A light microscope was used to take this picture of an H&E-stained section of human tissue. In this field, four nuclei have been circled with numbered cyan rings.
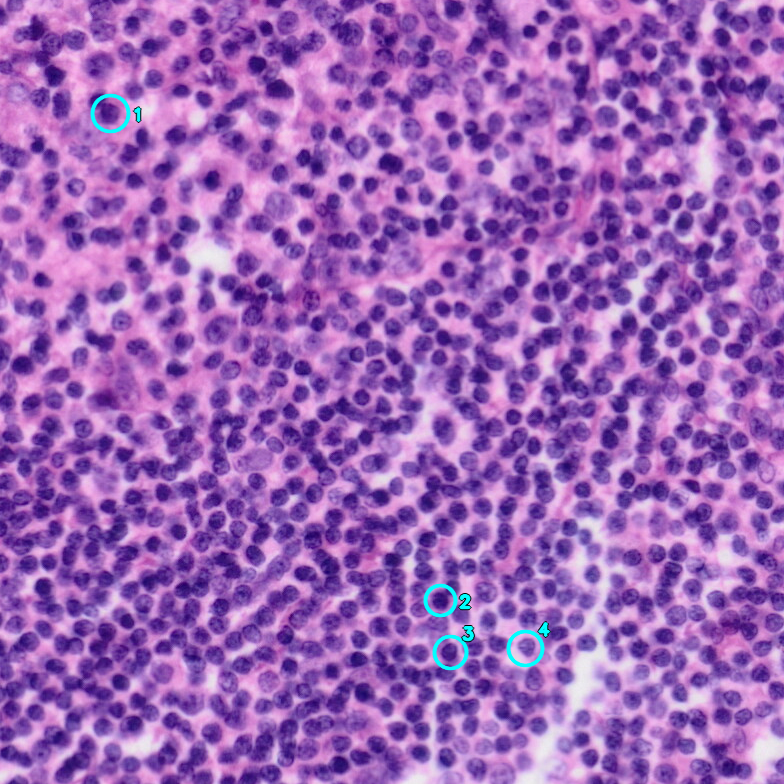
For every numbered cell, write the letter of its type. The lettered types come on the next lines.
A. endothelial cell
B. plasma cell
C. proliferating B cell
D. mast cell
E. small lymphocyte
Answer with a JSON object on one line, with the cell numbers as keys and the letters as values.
{"1": "C", "2": "E", "3": "E", "4": "E"}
